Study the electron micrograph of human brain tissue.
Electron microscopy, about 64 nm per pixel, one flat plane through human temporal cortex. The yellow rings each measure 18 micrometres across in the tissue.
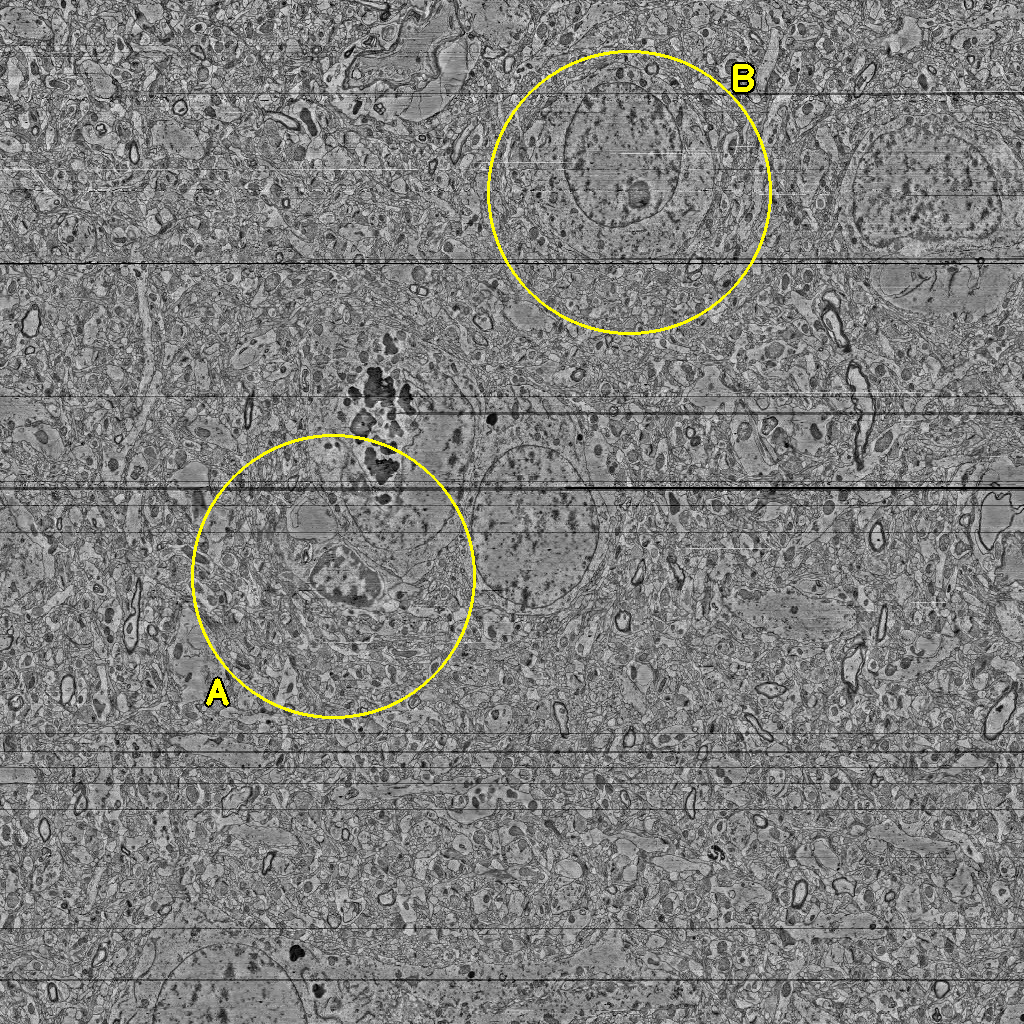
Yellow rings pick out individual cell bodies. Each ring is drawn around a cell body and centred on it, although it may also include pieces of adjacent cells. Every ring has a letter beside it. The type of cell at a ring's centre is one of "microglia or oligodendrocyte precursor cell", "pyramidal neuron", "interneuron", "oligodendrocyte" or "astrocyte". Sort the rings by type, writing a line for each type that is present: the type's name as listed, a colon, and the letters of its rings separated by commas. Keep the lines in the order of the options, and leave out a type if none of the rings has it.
microglia or oligodendrocyte precursor cell: A
pyramidal neuron: B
